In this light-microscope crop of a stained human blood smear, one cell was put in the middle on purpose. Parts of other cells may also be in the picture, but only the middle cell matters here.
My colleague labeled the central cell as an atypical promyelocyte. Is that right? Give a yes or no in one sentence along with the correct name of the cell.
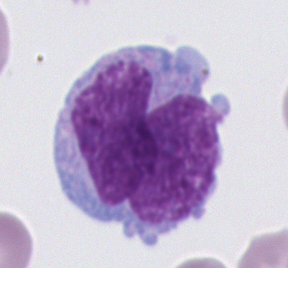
Yes, the cell in the middle of the view is an atypical promyelocyte.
